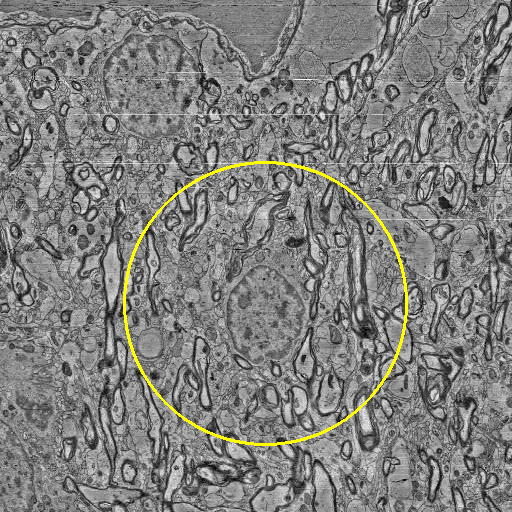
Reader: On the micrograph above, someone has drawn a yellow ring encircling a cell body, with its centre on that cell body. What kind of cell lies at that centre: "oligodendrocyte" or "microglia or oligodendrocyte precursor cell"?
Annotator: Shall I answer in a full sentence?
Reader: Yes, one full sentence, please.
Here an oligodendrocyte sits at the centre of the yellow ring drawn on the micrograph.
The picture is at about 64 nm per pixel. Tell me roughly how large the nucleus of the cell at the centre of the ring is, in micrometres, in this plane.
The ringed cell's nucleus is about 7 micrometres long and 5 micrometres wide in this plane.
